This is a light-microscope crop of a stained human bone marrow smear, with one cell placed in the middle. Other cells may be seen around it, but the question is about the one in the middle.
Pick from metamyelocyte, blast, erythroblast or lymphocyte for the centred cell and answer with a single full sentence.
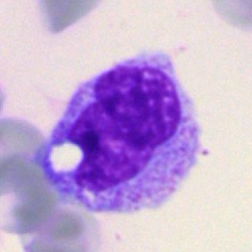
By type, the central cell of the crop is a metamyelocyte.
